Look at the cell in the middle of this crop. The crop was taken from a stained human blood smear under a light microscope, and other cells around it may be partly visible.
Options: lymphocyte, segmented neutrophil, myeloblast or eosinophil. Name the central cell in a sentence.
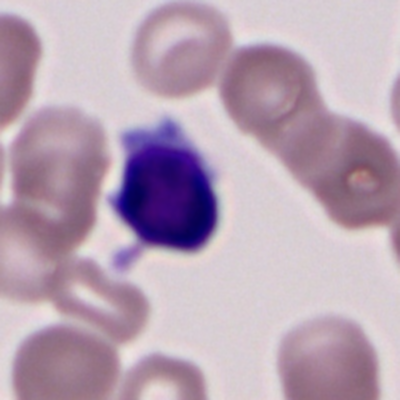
Standing at the centre of this crop is a lymphocyte.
